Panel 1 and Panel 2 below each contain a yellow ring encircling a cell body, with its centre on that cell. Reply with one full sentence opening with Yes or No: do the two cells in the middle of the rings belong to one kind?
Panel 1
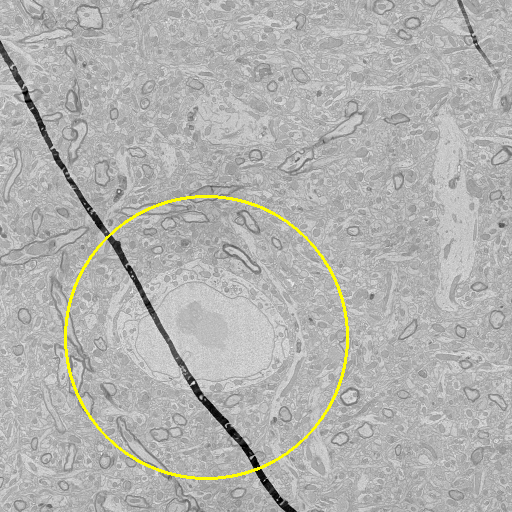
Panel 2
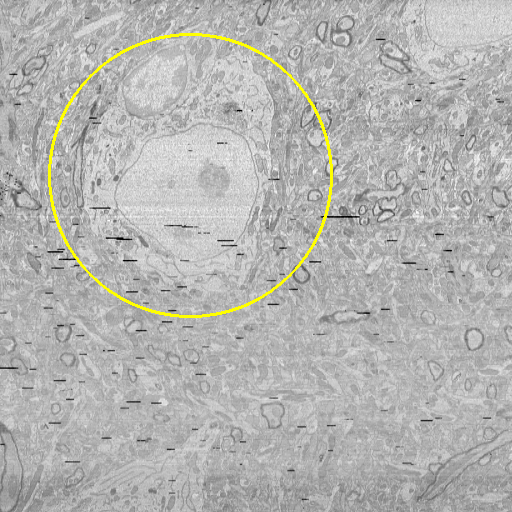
No, the cells at the middle of the Panel 1 ring and the Panel 2 ring are of two kinds.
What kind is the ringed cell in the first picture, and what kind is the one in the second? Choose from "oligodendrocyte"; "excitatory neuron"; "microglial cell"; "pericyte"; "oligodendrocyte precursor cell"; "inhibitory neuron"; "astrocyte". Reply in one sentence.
The first cell is an inhibitory neuron; the second is an excitatory neuron.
